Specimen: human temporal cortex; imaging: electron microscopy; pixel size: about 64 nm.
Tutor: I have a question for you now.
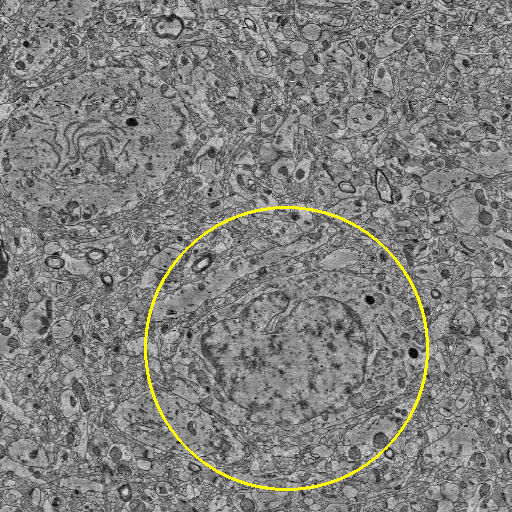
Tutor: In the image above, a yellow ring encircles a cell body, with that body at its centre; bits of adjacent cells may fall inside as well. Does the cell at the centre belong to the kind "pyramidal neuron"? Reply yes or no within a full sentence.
No, the centred cell inside the ring belongs to another kind.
